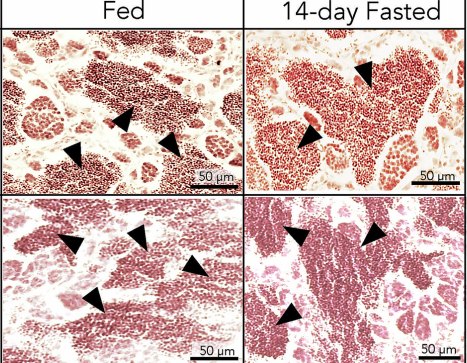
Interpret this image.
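Each of the four sections of testis shows large compartments packed with very small, dark-staining round heads, separated by pale, loosely stained strands of tissue. These tightly packed tiny cells filling the lumens are mature spermatozoa, and they are abundant in all four sections.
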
